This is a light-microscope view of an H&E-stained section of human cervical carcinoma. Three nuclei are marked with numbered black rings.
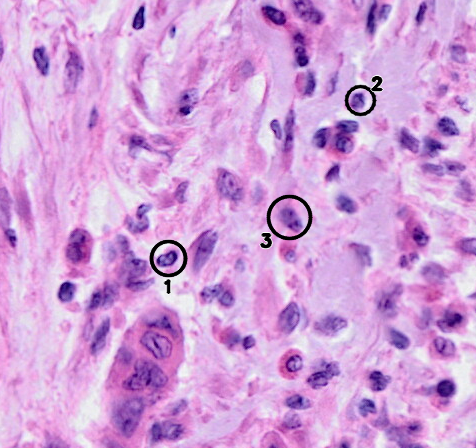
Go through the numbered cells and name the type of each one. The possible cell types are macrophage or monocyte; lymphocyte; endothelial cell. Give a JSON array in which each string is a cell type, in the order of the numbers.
["lymphocyte", "lymphocyte", "macrophage or monocyte"]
